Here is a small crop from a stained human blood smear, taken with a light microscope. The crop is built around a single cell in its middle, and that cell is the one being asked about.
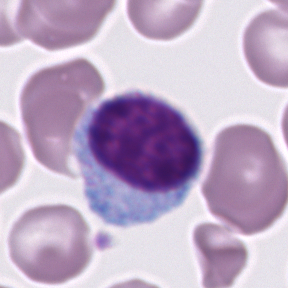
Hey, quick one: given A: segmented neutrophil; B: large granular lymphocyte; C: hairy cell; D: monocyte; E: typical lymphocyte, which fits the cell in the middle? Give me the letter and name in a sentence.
In the middle of the crop is a typical lymphocyte; option E is therefore correct.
